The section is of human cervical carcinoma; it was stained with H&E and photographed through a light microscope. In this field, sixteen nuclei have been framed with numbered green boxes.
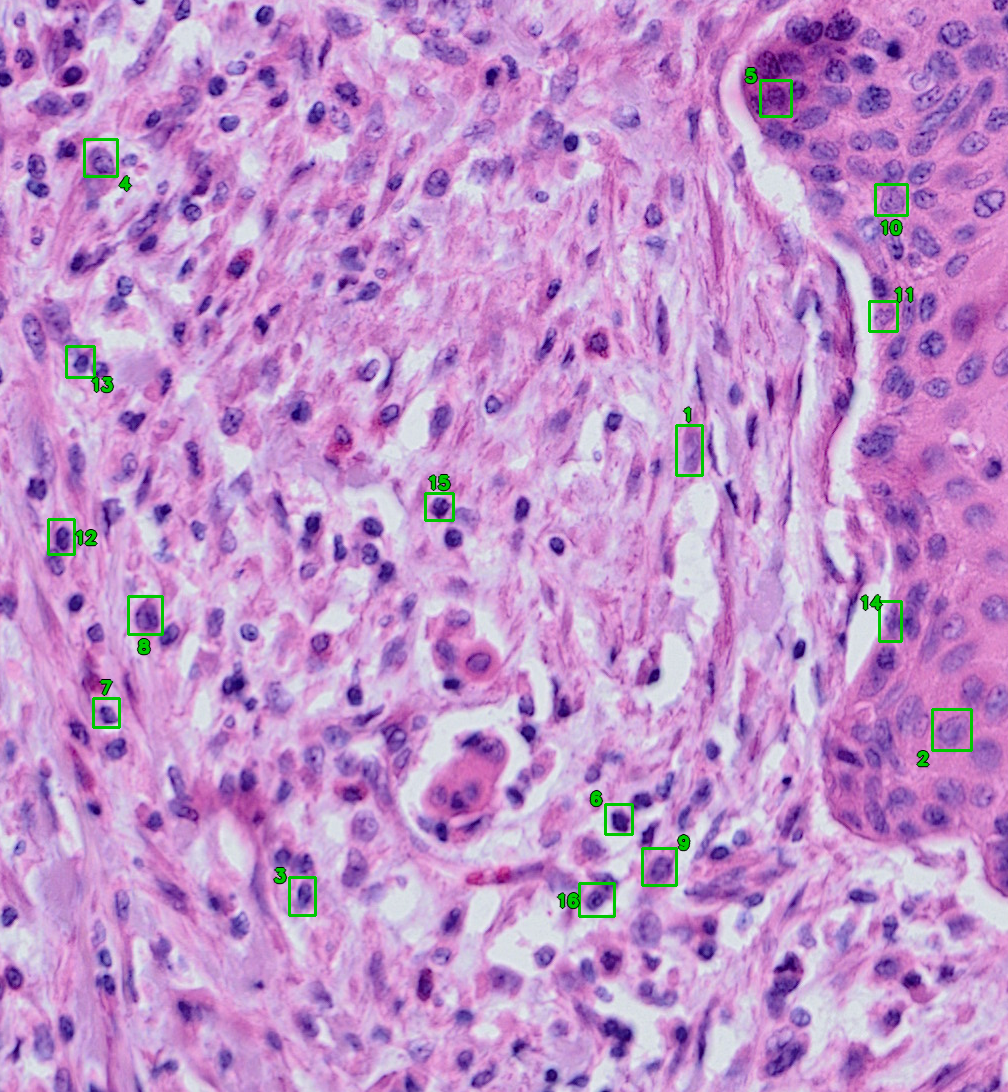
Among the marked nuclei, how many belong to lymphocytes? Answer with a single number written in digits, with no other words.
7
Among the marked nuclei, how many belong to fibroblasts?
1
